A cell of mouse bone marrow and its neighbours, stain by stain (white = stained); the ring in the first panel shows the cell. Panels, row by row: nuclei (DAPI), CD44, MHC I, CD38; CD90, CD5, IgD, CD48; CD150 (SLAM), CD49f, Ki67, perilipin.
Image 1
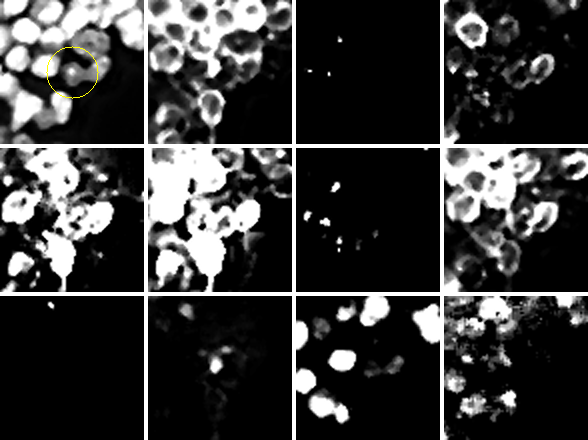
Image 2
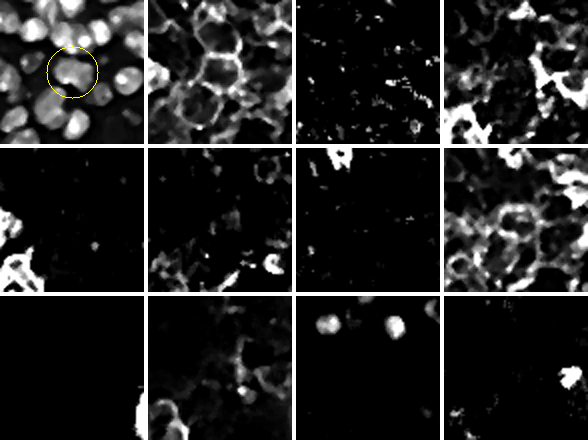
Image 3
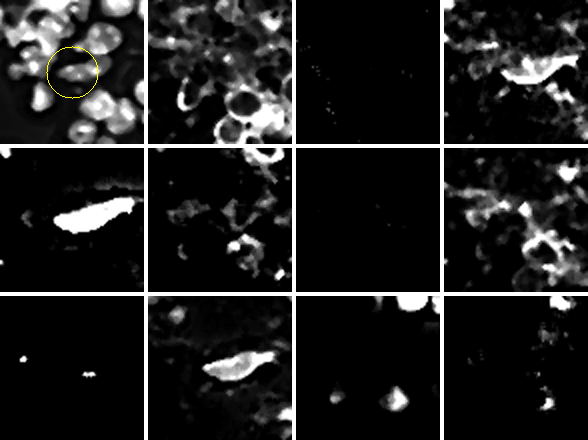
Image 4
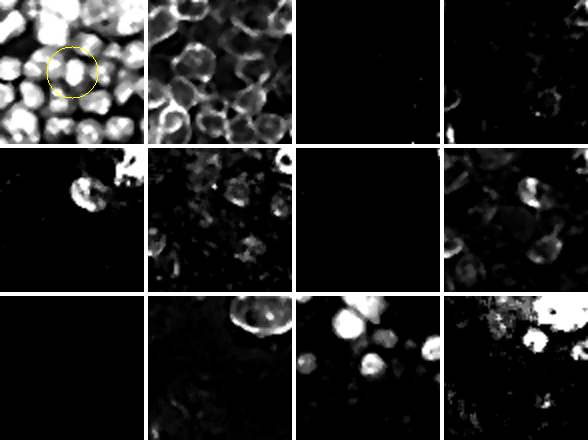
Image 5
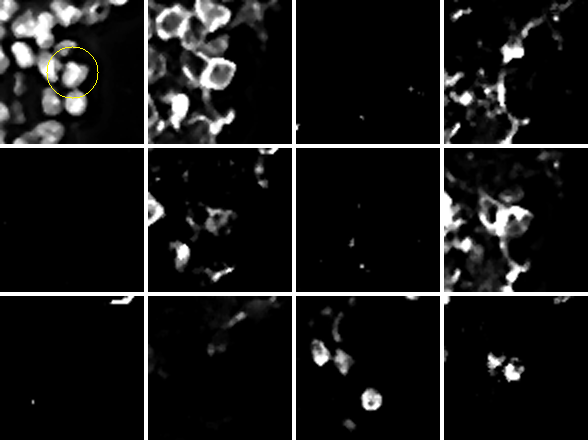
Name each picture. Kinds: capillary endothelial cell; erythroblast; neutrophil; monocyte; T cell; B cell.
(1) T cell
(2) capillary endothelial cell
(3) capillary endothelial cell
(4) erythroblast
(5) monocyte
